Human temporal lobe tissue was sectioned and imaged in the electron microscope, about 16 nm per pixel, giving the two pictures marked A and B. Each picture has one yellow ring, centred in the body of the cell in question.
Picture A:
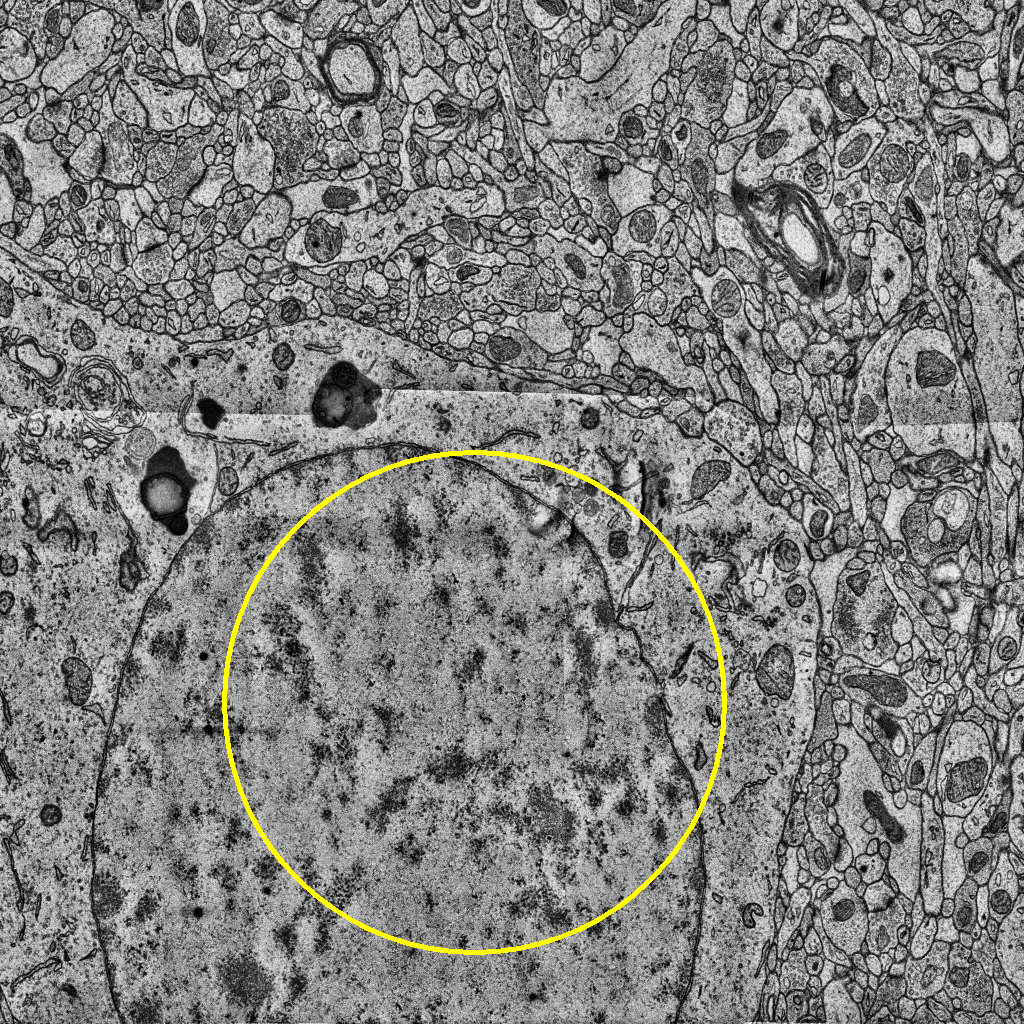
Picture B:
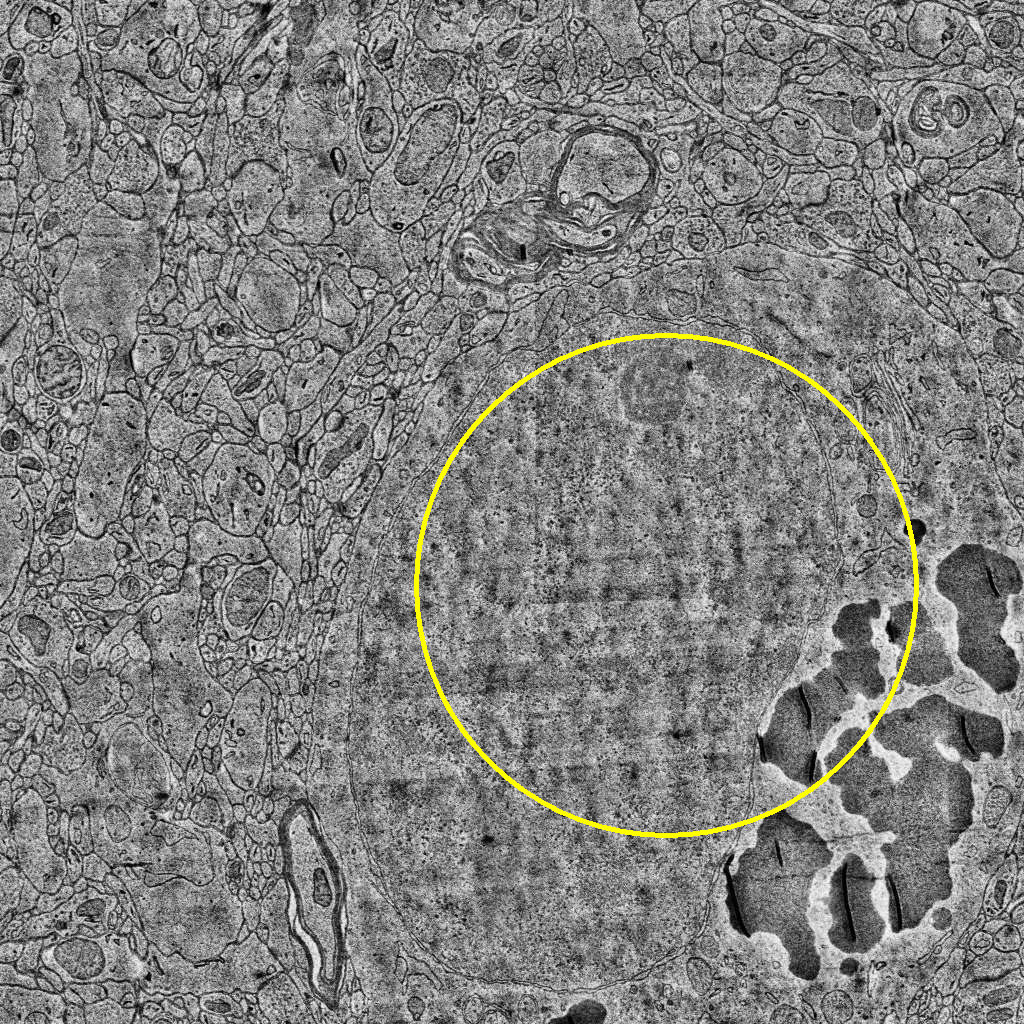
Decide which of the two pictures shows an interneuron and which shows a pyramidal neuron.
The cell in picture A is a pyramidal neuron, and the one in picture B is an interneuron.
